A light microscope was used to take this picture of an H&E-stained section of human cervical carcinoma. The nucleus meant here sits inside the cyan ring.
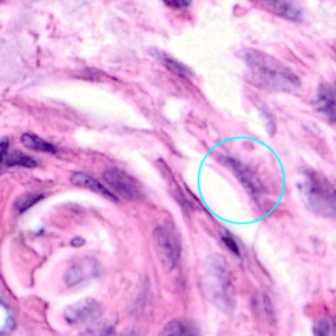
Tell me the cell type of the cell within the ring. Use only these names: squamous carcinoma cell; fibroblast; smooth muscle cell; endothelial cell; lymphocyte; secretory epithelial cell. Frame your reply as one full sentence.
Recorded by type, the cell within the ring is a fibroblast.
